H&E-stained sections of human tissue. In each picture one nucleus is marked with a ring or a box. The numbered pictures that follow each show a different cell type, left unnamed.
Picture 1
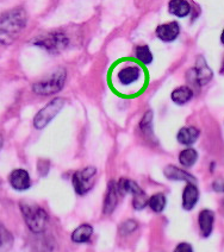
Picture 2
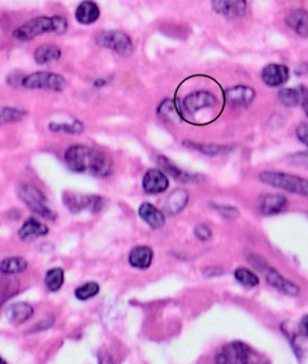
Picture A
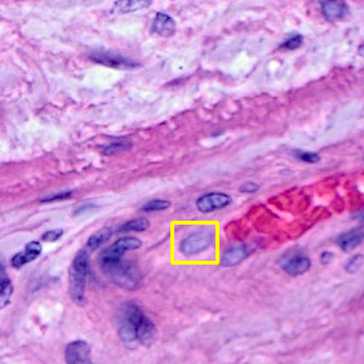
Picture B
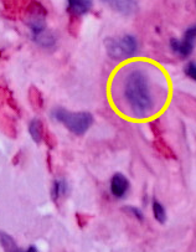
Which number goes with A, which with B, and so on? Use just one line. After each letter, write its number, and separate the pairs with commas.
A 2, B 2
